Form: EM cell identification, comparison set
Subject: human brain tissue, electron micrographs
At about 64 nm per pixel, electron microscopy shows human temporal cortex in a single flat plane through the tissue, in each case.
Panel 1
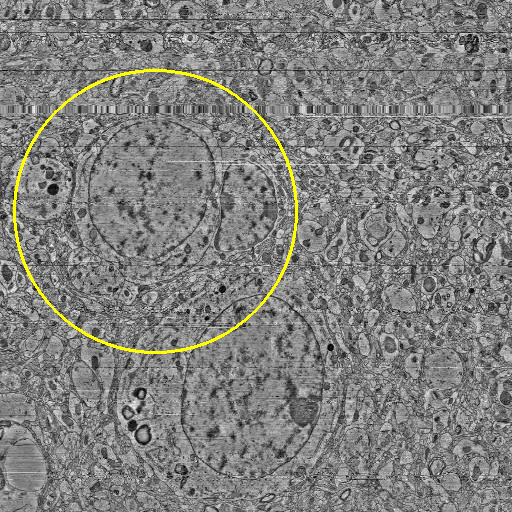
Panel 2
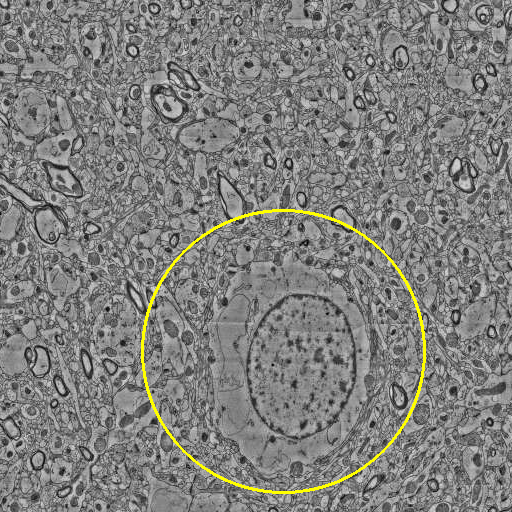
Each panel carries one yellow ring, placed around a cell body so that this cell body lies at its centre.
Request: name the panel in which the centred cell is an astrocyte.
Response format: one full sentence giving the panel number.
Panel 2 has it at the centre of its ring.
